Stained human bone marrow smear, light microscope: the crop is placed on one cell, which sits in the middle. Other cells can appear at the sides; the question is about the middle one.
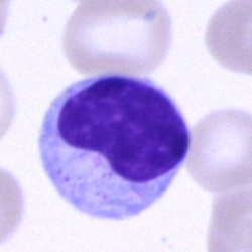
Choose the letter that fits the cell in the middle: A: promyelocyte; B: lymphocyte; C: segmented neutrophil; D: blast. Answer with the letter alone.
B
